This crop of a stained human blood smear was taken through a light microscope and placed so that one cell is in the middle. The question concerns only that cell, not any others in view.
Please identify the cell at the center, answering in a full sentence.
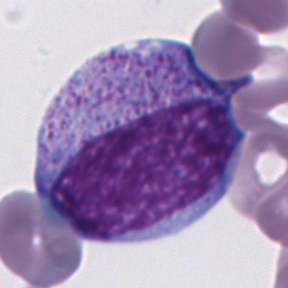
The middle position in this crop is taken by a promyelocyte.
